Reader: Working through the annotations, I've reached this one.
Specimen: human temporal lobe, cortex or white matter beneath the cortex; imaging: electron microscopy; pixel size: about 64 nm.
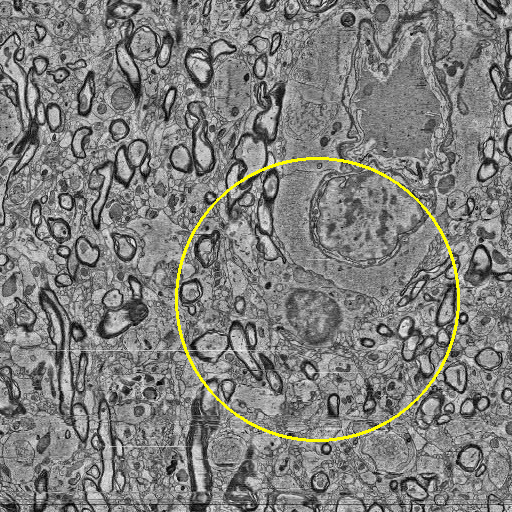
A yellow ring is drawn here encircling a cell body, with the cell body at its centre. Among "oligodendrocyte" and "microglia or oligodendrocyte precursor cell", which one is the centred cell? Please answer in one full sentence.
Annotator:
The cell body at the centre of the yellow ring in this image belongs to an oligodendrocyte.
